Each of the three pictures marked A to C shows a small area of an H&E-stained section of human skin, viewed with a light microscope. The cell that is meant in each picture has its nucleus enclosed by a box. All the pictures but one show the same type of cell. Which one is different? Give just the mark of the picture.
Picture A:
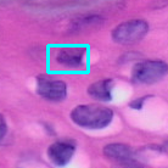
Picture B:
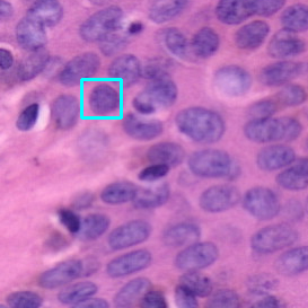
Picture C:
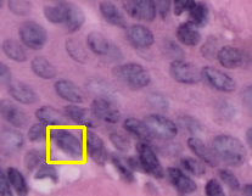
A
